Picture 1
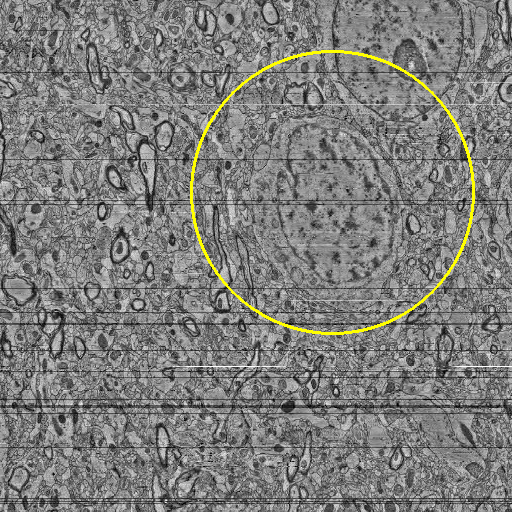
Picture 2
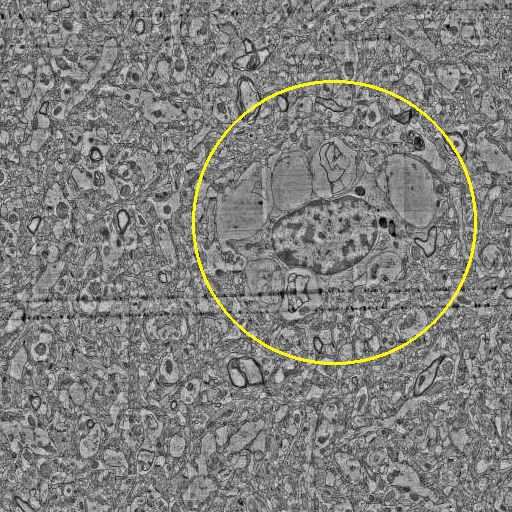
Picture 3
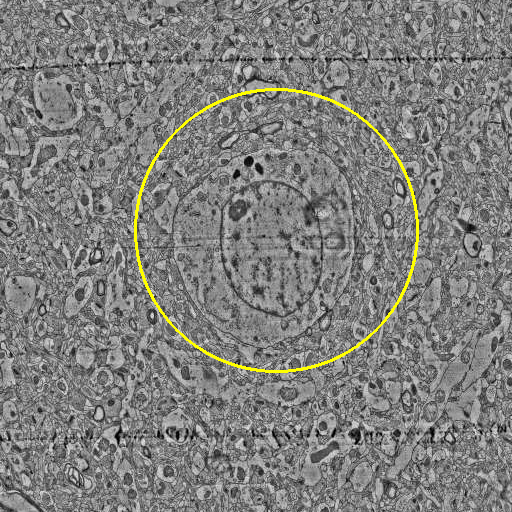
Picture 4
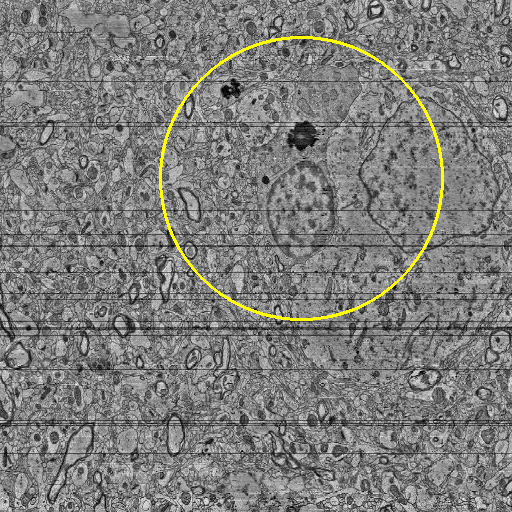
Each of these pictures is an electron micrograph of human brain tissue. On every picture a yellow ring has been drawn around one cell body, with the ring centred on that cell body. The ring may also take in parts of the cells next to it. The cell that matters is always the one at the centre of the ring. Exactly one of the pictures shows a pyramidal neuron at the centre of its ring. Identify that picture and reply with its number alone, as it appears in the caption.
3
